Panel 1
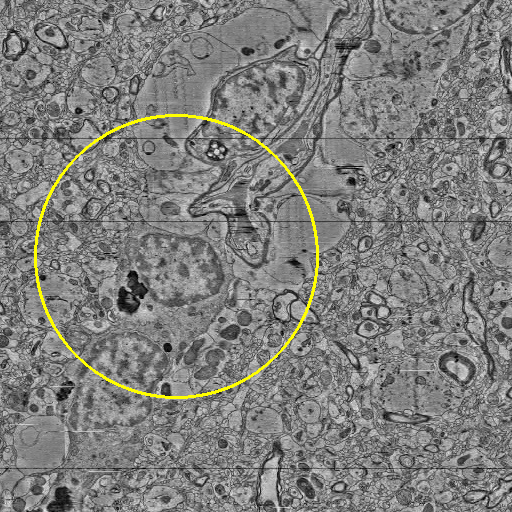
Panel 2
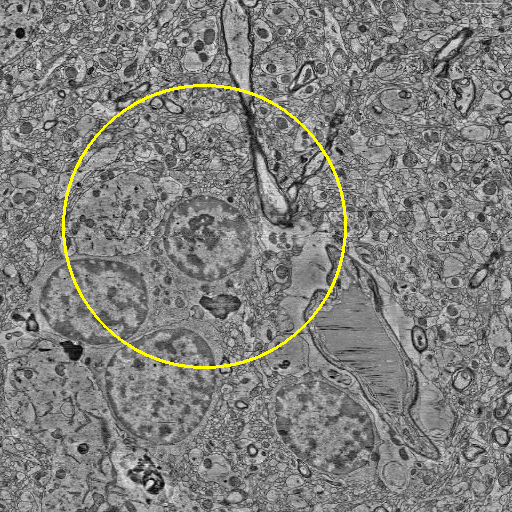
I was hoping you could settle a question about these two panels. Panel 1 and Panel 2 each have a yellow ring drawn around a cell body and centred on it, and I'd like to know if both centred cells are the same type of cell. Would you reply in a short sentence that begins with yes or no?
Yes, both are the same type of cell.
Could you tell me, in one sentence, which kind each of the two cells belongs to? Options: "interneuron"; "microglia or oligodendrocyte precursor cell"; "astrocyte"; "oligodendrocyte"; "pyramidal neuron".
The first and the second cell are each an oligodendrocyte.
